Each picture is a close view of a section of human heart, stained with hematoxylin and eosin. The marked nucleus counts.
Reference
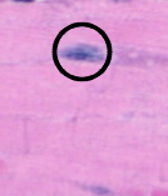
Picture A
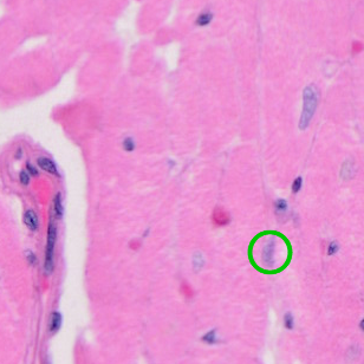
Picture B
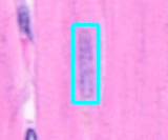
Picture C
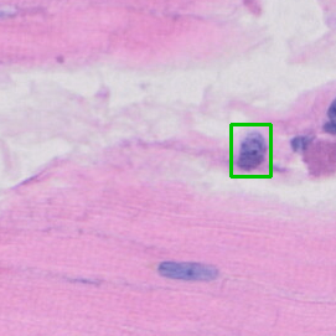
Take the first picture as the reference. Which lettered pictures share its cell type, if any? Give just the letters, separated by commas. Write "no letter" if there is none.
no letter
